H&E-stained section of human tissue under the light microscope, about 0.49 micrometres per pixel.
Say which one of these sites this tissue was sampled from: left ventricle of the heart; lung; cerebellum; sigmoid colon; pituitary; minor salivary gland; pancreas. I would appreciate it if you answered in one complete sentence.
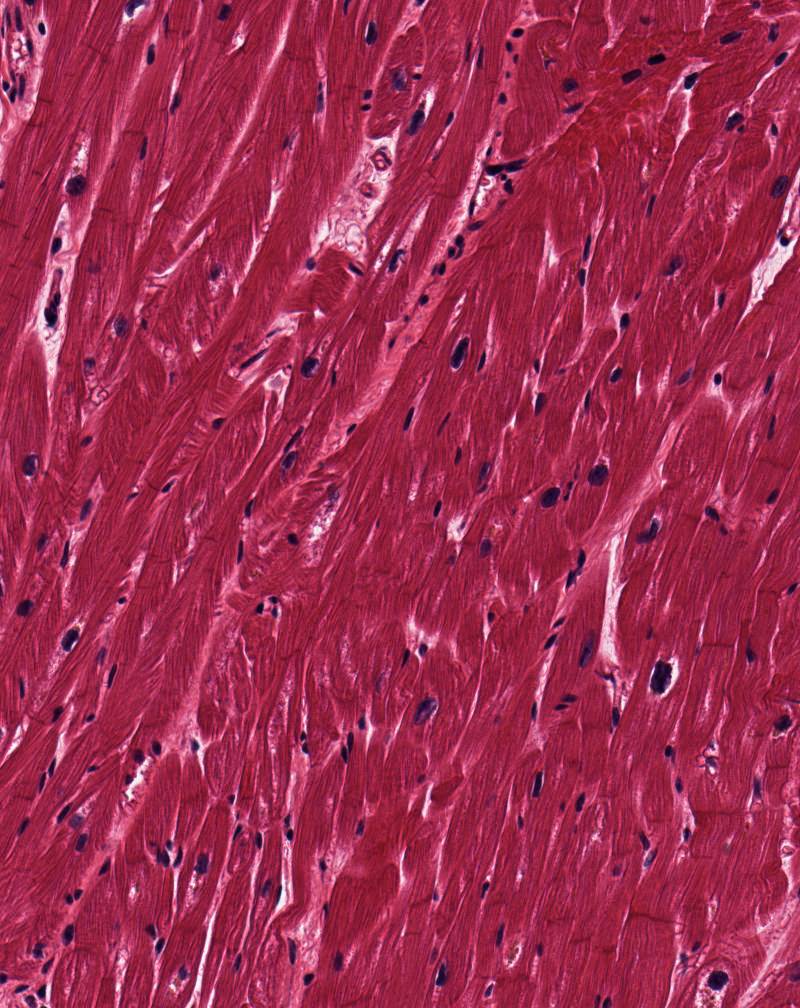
In this section is tissue sampled from the left ventricle of the heart.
